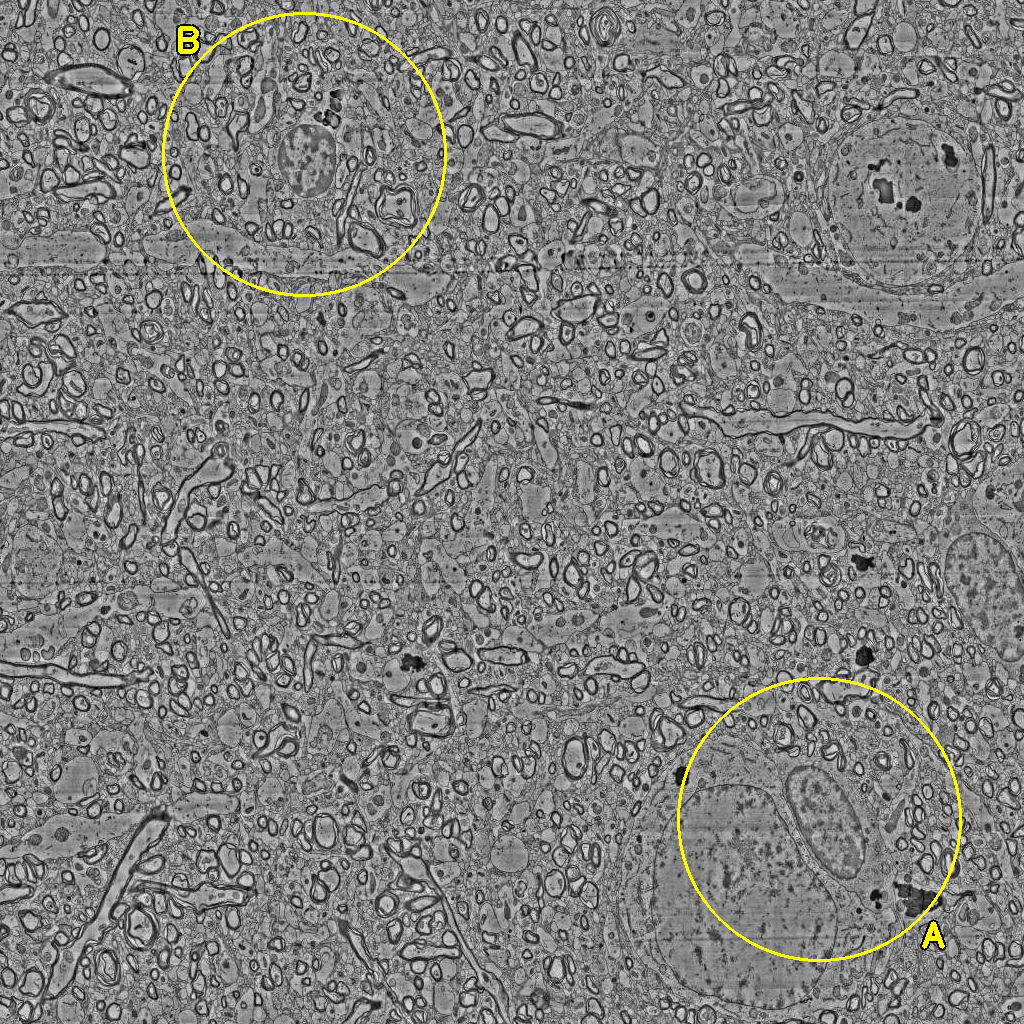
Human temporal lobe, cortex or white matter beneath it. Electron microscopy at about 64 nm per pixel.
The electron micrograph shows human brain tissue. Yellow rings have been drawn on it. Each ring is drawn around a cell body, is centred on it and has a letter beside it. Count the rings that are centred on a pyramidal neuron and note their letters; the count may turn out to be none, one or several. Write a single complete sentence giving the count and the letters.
Not even one of the lettered rings is centred on a pyramidal neuron, so the count is zero.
